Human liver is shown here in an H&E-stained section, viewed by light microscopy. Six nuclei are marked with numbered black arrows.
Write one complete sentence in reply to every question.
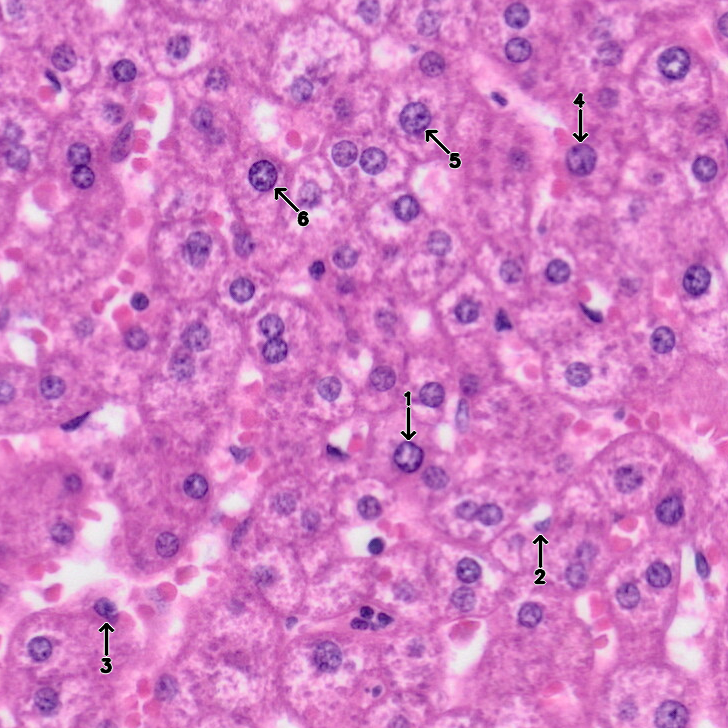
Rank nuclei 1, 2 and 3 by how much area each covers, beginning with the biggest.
The nuclei rank 1, 3, 2, from largest to smallest.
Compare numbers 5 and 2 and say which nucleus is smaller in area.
Number 2 is smaller, since number 5 takes up about 4 times as much area.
